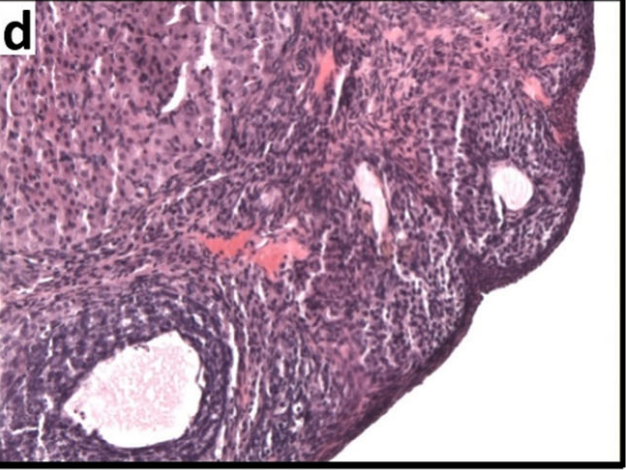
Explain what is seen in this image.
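This is ovarian tissue with a corpus luteum and follicles. At upper left lies a compact mass of large luteal cells with pale pink cytoplasm and dark round nuclei. Below and to the right are round follicles, each with a central fluid-filled space lined by several layers of small, tightly packed granulosa cells with dark nuclei, encircled by a thin spindle-cell layer. Between them lies cellular stroma with small blood vessels and patches of red-staining blood. The ovary's outer edge bulges along the right side.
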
